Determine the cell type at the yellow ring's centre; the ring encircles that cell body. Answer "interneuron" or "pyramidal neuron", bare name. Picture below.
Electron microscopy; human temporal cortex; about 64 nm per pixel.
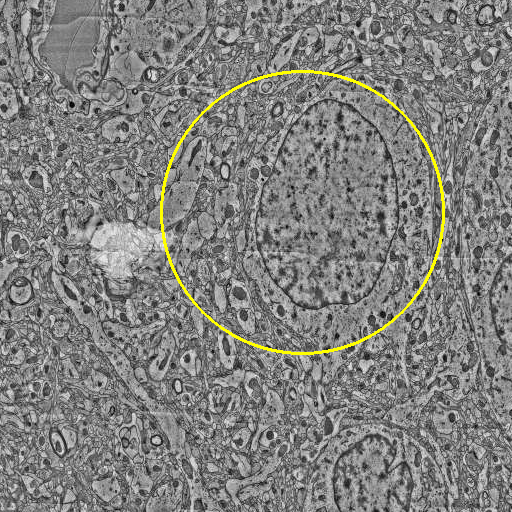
pyramidal neuron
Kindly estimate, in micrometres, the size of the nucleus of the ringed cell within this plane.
The ringed cell's nucleus is about 13 micrometres long and 9 micrometres wide in this plane.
